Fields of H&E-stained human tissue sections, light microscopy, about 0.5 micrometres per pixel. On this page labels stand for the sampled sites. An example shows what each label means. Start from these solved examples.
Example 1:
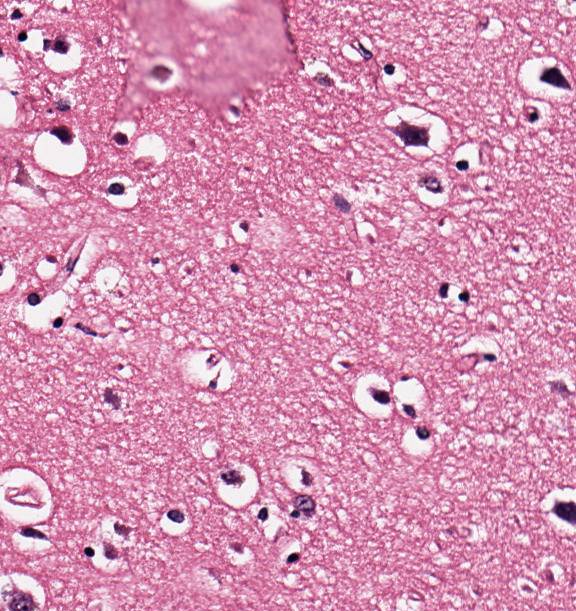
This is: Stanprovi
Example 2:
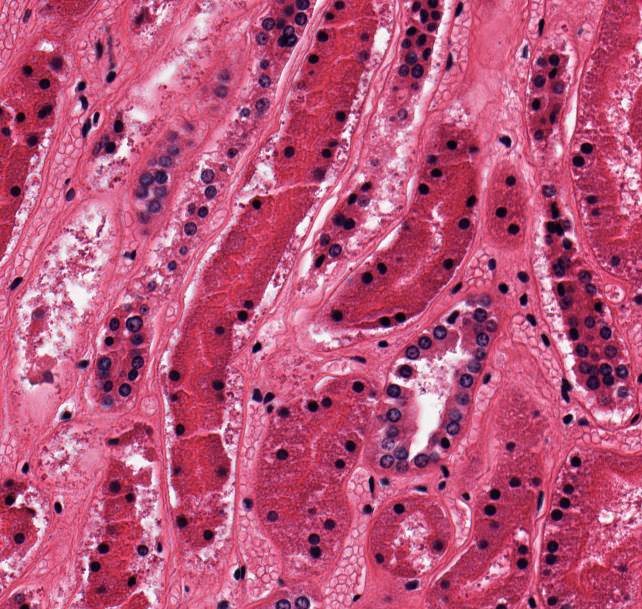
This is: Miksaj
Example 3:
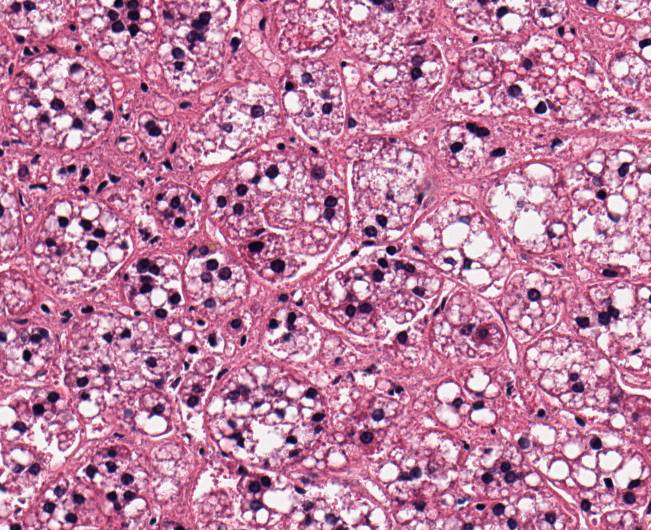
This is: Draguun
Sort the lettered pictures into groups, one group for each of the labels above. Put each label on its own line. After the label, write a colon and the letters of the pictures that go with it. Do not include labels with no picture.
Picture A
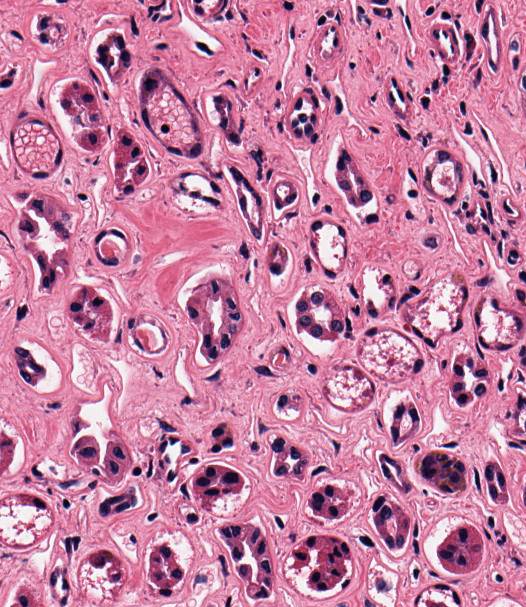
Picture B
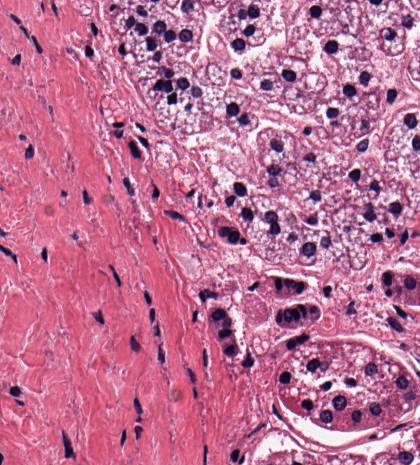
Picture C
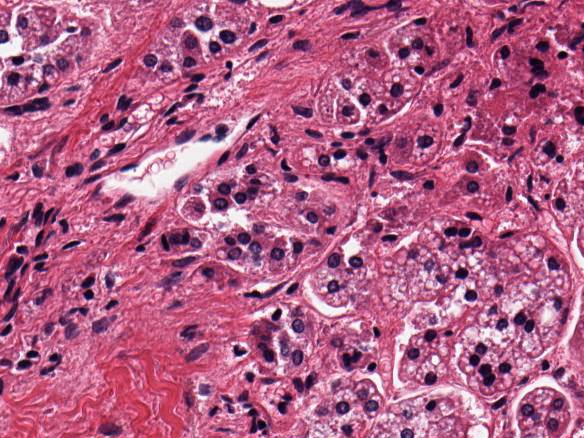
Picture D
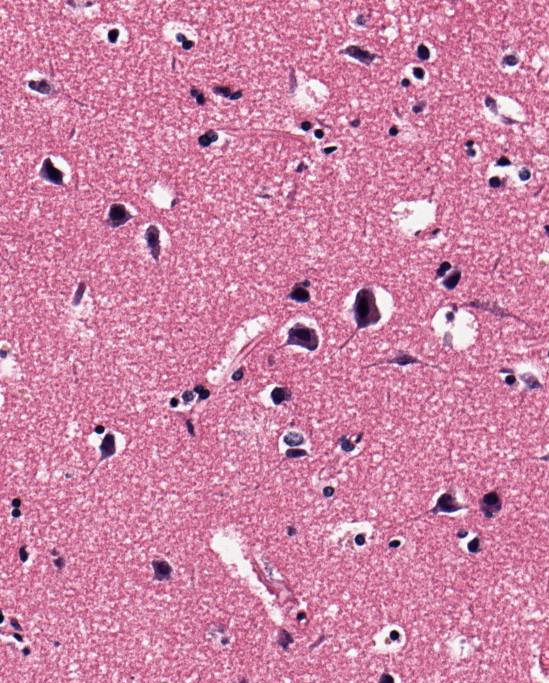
Stanprovi: D
Miksaj: A
Draguun: B, C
